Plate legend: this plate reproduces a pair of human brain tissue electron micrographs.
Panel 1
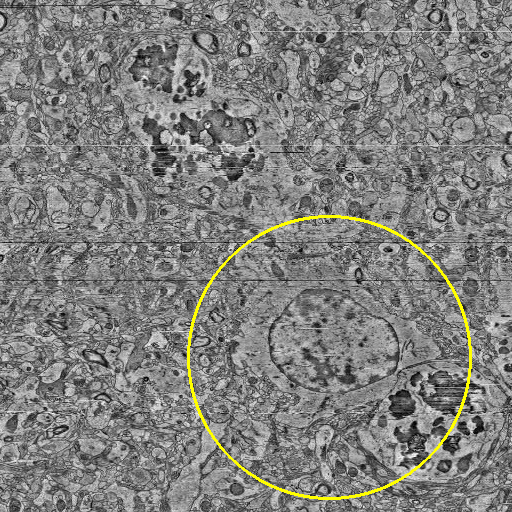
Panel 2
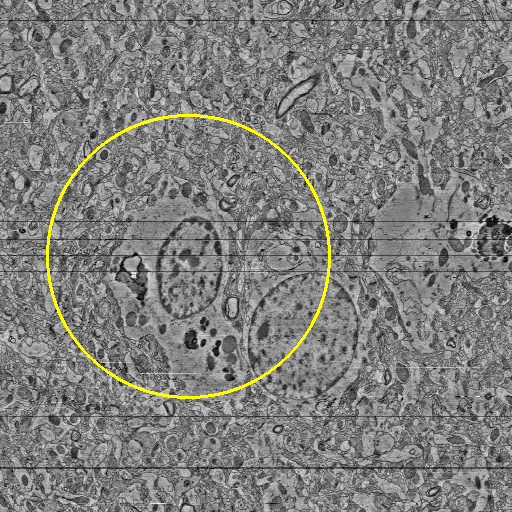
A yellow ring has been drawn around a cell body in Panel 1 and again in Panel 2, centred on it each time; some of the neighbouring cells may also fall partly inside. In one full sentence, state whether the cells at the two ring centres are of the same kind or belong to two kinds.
The ring-centred cells of Panel 1 and Panel 2 are of the same kind.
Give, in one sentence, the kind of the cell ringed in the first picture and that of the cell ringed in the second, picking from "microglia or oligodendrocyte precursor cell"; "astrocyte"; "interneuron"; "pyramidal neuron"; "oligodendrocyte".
The ring centre holds an astrocyte in each of the two pictures.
